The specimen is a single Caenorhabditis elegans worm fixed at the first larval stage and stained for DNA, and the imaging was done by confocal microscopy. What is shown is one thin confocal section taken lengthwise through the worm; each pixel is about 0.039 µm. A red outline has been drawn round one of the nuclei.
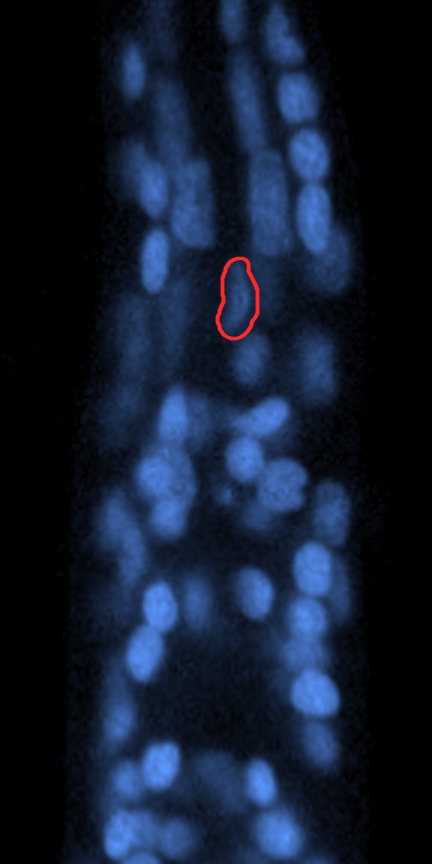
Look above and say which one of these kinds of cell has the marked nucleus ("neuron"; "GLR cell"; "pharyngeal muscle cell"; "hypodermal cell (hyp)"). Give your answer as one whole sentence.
It belongs to a pharyngeal muscle cell.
